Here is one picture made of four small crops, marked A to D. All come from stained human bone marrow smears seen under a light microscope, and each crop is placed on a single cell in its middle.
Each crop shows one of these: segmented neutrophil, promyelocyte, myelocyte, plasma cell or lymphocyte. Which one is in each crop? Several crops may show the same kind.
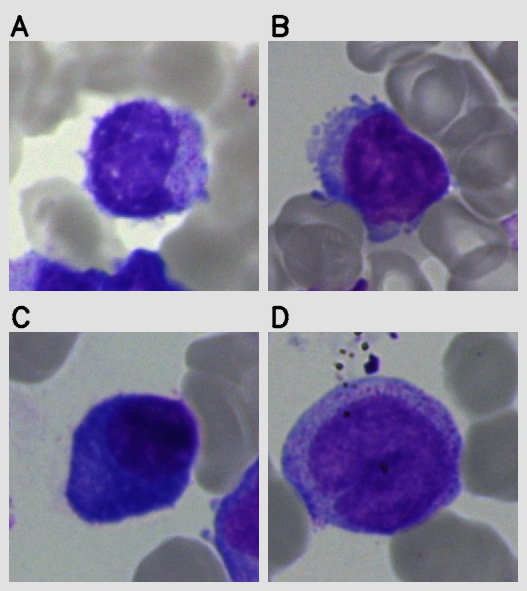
A: myelocyte
B: lymphocyte
C: plasma cell
D: promyelocyte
